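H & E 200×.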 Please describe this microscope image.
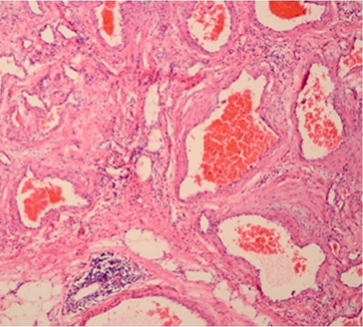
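Pink fibrous connective tissue is crowded with many wide, irregular vascular channels lined by a thin, flat layer of endothelial cells. Most channels are filled with closely packed, bright red-orange red blood cells, some of which pull away from the wall in a cracked, clotted mass. Around the channels the walls are thickened by concentric pink fibrous tissue with scattered small dark nuclei. Near the bottom lies a small cluster of densely packed, dark purple nuclei. The picture is that of many dilated, blood-filled vessels in a fibrous stroma.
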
